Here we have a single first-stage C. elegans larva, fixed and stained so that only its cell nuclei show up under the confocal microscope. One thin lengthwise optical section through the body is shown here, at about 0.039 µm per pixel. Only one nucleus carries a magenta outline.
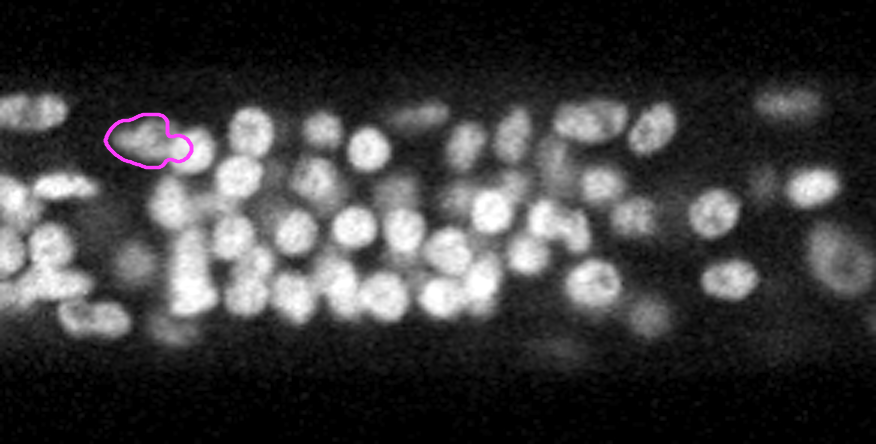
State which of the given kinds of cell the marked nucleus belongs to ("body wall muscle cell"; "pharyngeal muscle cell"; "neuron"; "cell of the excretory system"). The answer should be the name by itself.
body wall muscle cell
